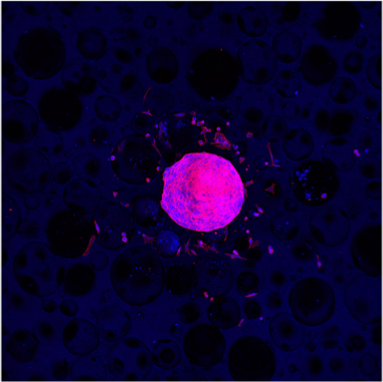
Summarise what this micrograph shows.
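The spheroid is a compact, round body with a bright red-pink centre and a smooth edge. The scaffold around it is dark and riddled with round pores of many sizes. Close to the spheroid, a few small red and blue cells and fragments lie in the scaffold, mostly near its edge. Farther out, the material is nearly empty of cells.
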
